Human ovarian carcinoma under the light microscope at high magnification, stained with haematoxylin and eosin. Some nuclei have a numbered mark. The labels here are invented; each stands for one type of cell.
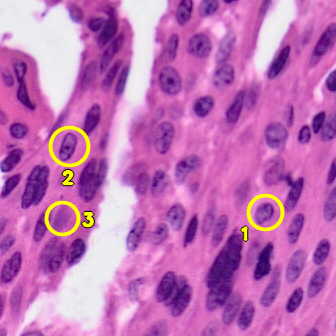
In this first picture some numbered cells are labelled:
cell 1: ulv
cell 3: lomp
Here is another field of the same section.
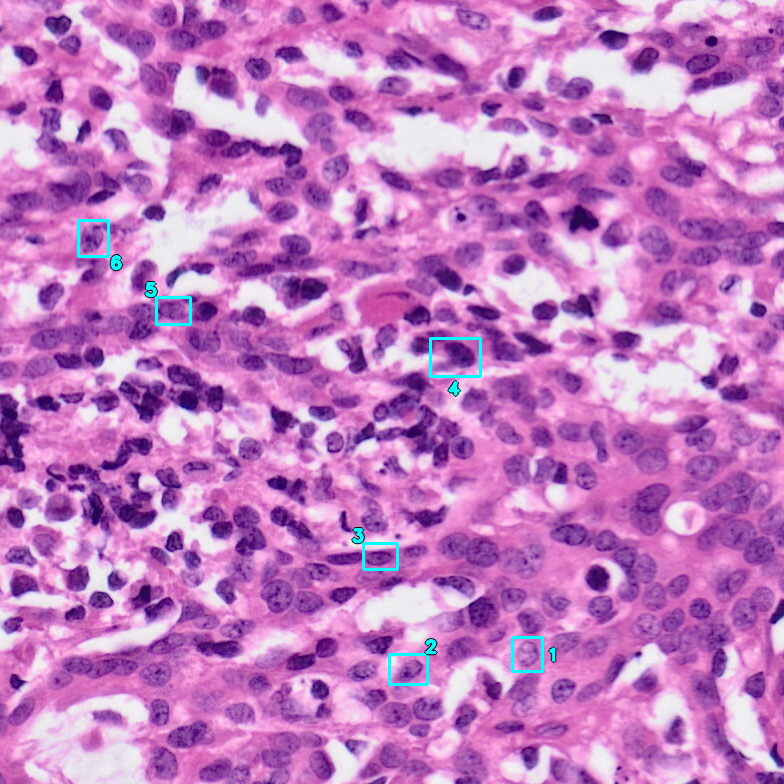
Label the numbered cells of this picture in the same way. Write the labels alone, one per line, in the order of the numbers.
ulv
ulv
lomp
lomp
lomp
ulv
